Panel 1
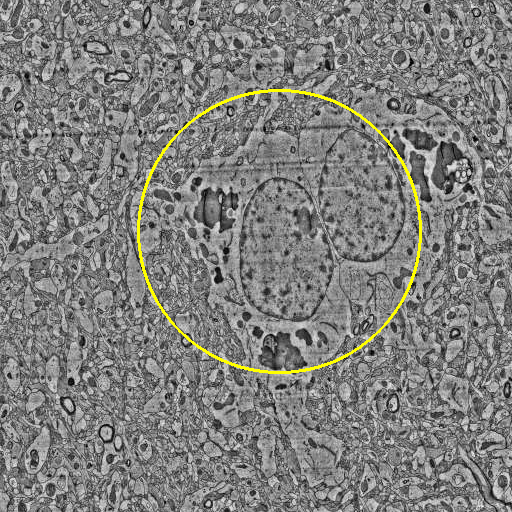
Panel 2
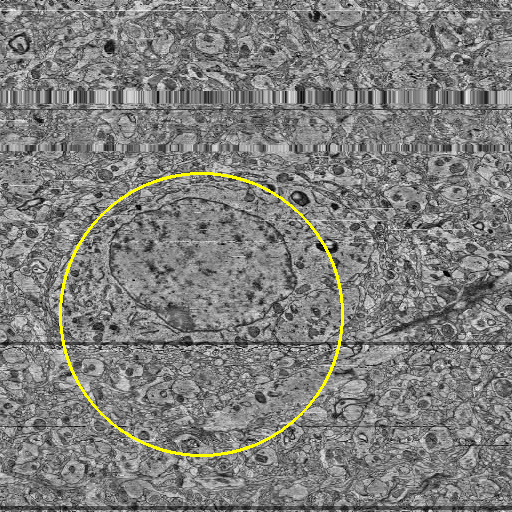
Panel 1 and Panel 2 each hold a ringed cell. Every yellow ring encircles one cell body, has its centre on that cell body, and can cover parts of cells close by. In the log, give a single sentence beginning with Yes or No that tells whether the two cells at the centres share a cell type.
No, in Panel 1 and Panel 2 the centred cells are of two cell types.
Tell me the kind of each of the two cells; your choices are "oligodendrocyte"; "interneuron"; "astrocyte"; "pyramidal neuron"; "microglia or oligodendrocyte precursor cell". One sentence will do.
The ringed cell is an astrocyte in the first picture and a pyramidal neuron in the second picture.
